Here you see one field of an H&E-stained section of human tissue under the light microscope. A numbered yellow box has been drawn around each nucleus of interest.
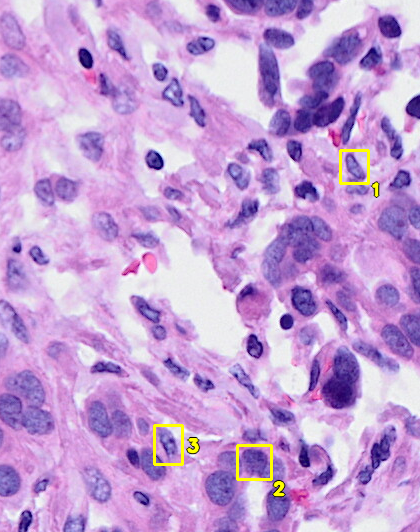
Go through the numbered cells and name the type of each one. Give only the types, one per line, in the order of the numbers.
fibroblast
carcinoma cell
fibroblast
